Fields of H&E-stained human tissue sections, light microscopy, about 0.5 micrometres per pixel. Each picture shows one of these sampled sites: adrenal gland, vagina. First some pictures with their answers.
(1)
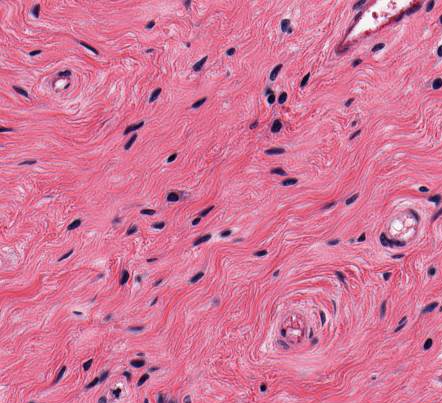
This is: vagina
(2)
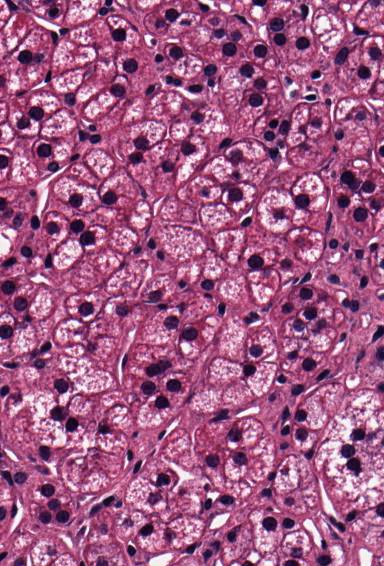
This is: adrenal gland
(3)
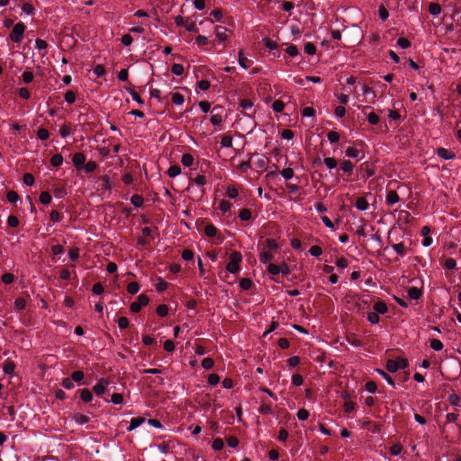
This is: adrenal gland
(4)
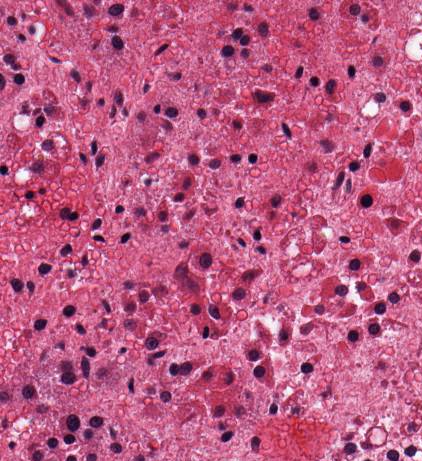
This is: adrenal gland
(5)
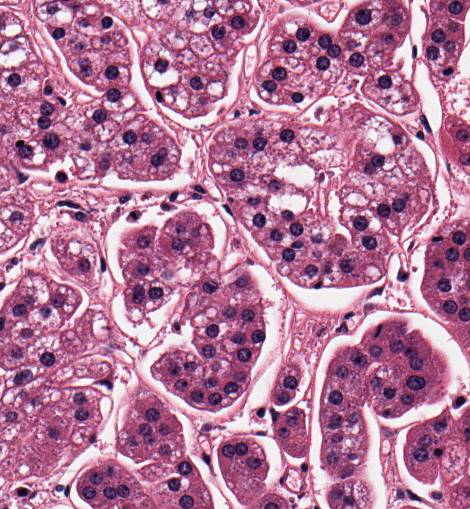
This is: adrenal gland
